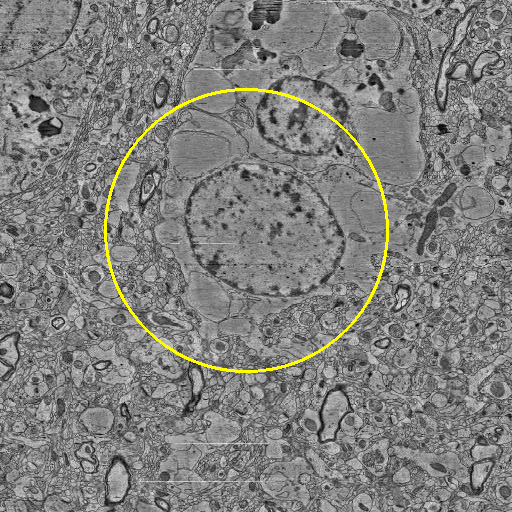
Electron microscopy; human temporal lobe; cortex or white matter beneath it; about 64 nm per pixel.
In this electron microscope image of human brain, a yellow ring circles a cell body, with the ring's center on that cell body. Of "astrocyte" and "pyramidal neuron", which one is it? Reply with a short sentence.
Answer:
It is an astrocyte at the center of the ring.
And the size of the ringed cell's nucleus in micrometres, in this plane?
The nucleus works out at approximately 10 by 8 micrometres in this plane.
